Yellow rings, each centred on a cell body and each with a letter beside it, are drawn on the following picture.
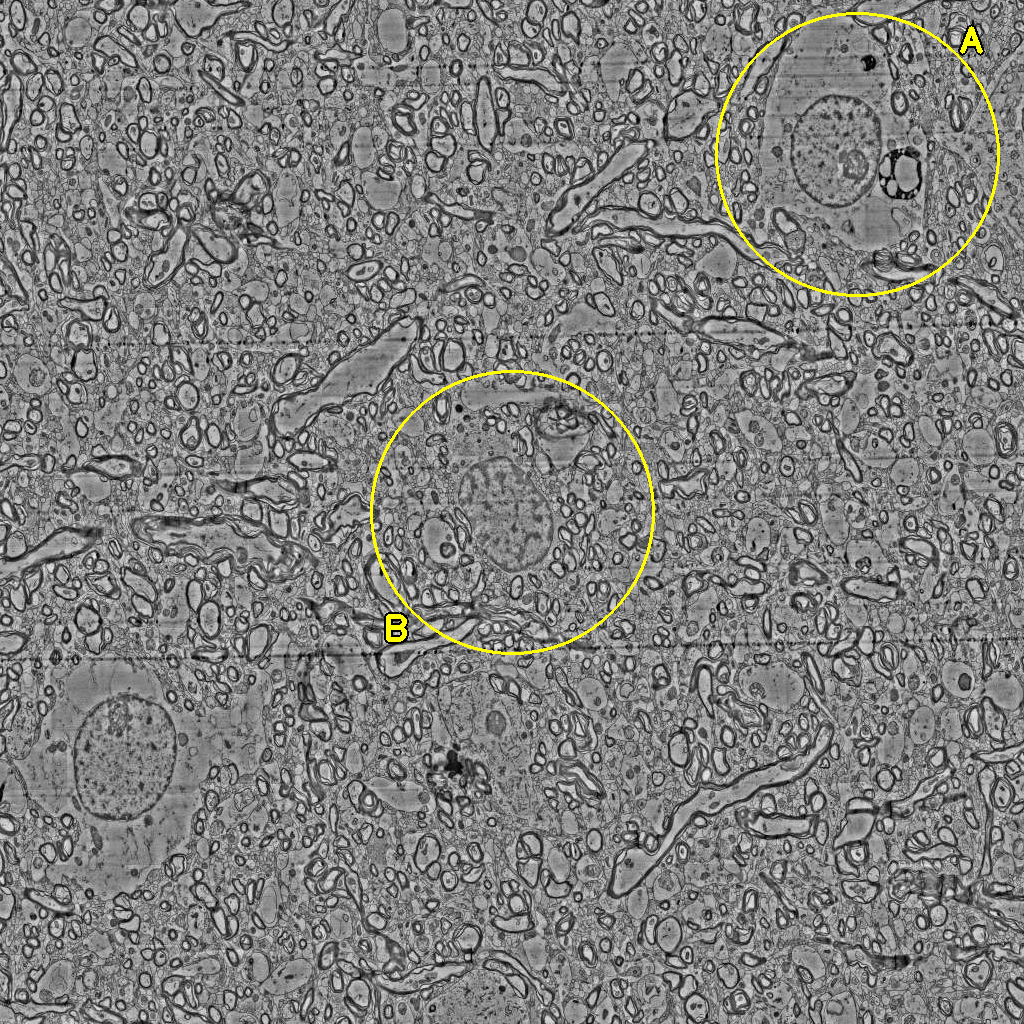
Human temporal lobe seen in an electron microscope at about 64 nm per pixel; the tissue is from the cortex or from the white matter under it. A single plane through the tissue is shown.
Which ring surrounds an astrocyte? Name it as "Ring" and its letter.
Ring A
